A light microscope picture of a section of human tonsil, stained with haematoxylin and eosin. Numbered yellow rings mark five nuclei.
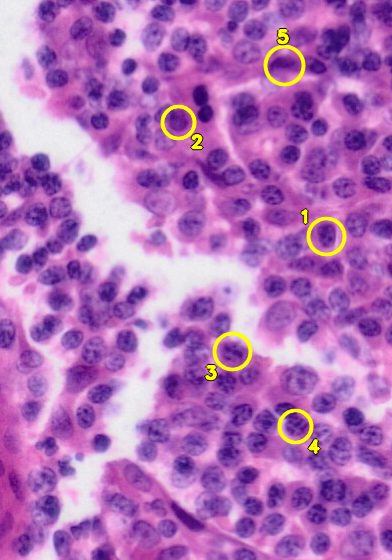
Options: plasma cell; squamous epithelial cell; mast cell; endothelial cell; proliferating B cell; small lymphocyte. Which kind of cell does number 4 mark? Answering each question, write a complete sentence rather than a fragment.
Marked with the number 4, this cell is a plasma cell.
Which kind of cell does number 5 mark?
Cell 5 of the marked set is a squamous epithelial cell.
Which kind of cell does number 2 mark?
The one labeled 2 is a squamous epithelial cell, to put it simply.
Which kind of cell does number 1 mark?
Marked with the number 1, this cell is a plasma cell.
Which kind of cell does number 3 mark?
In this section, number 3 marks a plasma cell.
